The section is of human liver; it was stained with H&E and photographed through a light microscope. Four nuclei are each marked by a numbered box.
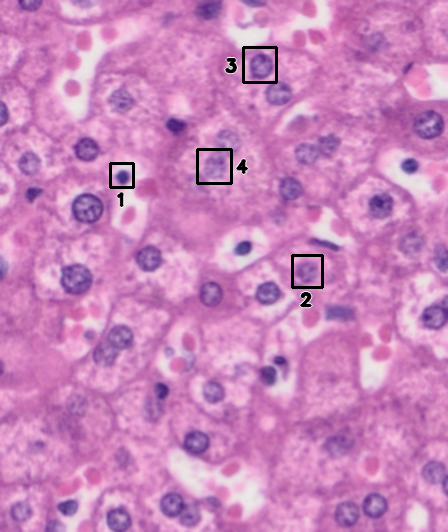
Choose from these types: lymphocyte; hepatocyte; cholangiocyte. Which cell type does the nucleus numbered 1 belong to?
lymphocyte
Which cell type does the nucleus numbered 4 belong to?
hepatocyte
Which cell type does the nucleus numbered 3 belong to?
hepatocyte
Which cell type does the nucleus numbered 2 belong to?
hepatocyte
